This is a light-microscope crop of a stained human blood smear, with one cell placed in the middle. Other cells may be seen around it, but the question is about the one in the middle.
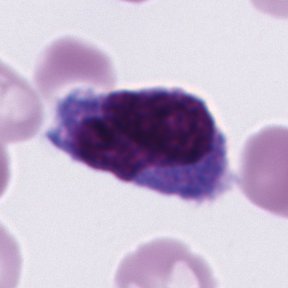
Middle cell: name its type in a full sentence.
The cell sitting right in the middle is a monocyte.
